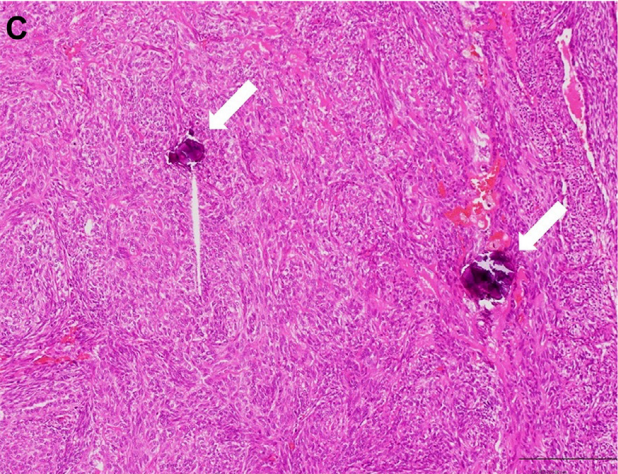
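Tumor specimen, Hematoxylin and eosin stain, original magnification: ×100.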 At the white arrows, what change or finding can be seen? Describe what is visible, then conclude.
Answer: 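Small, irregular, dark purple clumps lie within the cellular tissue. The clumps are cracked and sharply bordered, unlike the surrounding cells.
Answer: Calcification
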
